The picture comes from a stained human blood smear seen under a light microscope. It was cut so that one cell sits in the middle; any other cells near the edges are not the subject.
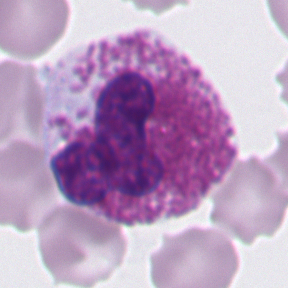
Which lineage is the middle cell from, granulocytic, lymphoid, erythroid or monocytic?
granulocytic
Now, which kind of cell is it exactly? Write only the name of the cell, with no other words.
eosinophil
